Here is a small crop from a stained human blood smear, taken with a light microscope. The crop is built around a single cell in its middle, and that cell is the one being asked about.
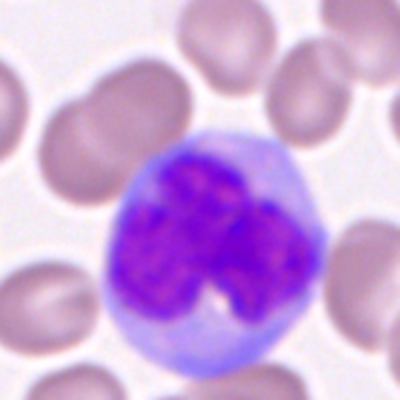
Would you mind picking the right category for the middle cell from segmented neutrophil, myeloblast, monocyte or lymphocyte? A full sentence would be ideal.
Here the centrally located cell is a monocyte.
